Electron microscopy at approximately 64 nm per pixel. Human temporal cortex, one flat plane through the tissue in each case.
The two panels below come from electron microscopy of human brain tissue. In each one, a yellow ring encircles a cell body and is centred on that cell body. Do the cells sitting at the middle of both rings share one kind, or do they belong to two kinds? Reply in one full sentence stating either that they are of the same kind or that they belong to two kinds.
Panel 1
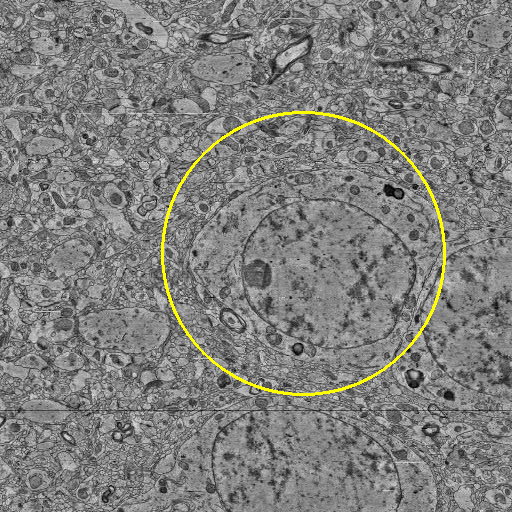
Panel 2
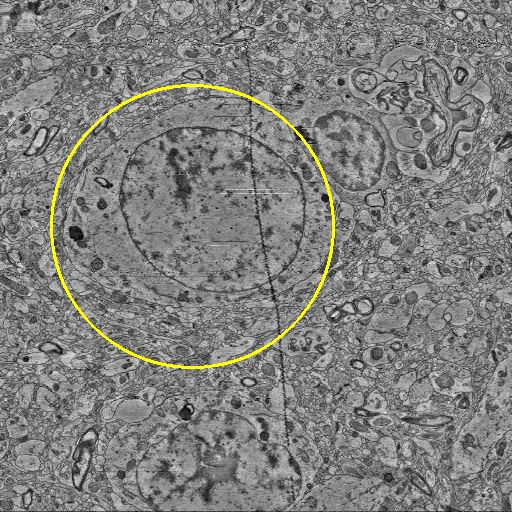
The cells at the centres of the two rings are of the same kind.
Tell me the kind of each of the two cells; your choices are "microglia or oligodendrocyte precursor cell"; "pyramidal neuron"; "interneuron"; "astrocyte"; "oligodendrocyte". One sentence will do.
Each of the two rings is centred on a pyramidal neuron.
